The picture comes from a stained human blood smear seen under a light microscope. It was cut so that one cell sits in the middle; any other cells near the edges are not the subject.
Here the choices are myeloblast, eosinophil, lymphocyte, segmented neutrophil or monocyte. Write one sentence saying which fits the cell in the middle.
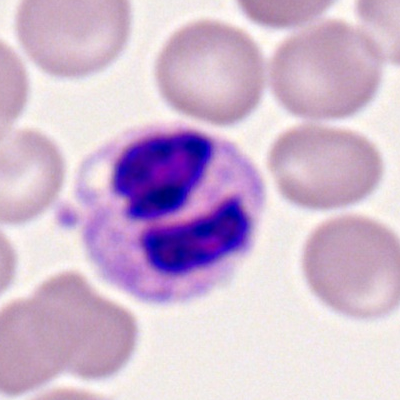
The cell found in the middle of this crop is a segmented neutrophil.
